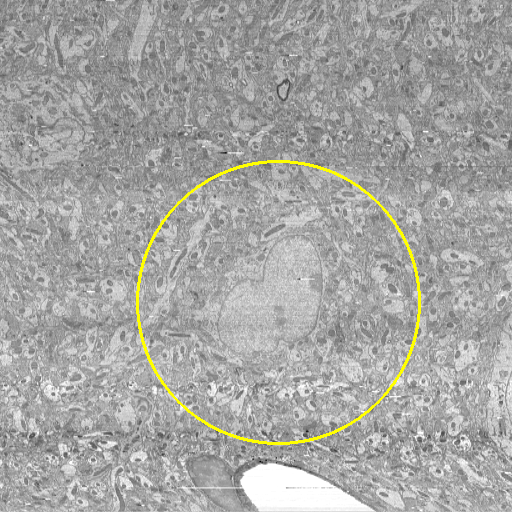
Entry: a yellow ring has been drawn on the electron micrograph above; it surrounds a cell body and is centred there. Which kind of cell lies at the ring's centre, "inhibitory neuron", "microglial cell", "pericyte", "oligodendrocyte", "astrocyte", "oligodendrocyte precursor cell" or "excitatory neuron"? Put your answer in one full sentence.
The cell sitting at the ring's centre is an astrocyte in the micrograph above.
